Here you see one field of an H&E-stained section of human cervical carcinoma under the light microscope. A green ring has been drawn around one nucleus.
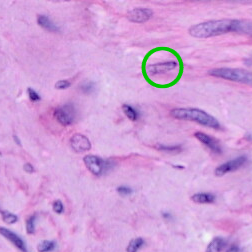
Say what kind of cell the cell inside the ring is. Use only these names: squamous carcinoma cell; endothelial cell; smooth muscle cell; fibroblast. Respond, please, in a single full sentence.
Microscopically, the cell inside the ring is categorized as a smooth muscle cell.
